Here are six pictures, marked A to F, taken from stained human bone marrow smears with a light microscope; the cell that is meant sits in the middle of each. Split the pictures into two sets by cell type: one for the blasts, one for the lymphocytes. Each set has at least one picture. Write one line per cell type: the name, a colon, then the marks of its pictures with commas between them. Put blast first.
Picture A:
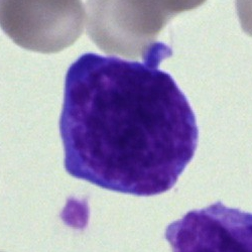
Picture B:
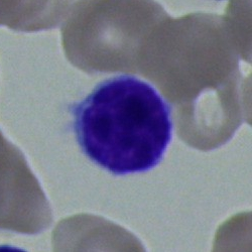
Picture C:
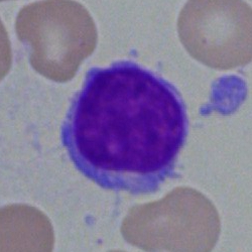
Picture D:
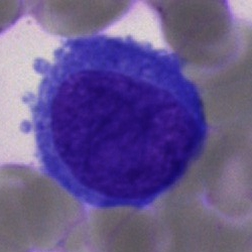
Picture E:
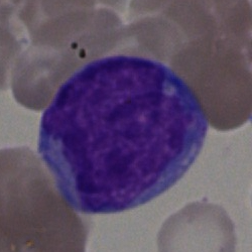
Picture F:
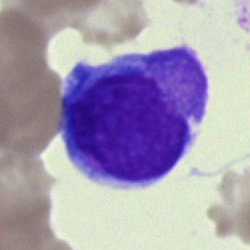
blast: A, D, E, F
lymphocyte: B, C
